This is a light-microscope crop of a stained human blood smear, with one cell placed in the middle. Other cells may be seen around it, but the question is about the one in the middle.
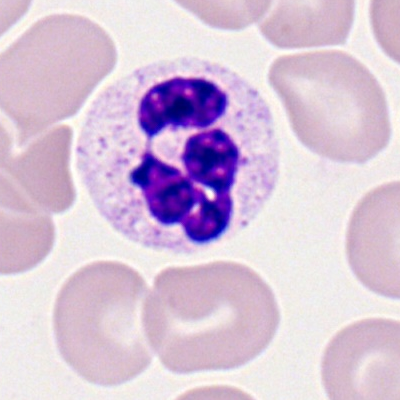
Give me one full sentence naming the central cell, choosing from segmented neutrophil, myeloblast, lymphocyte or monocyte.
Answering briefly, the cell in the middle is a segmented neutrophil.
